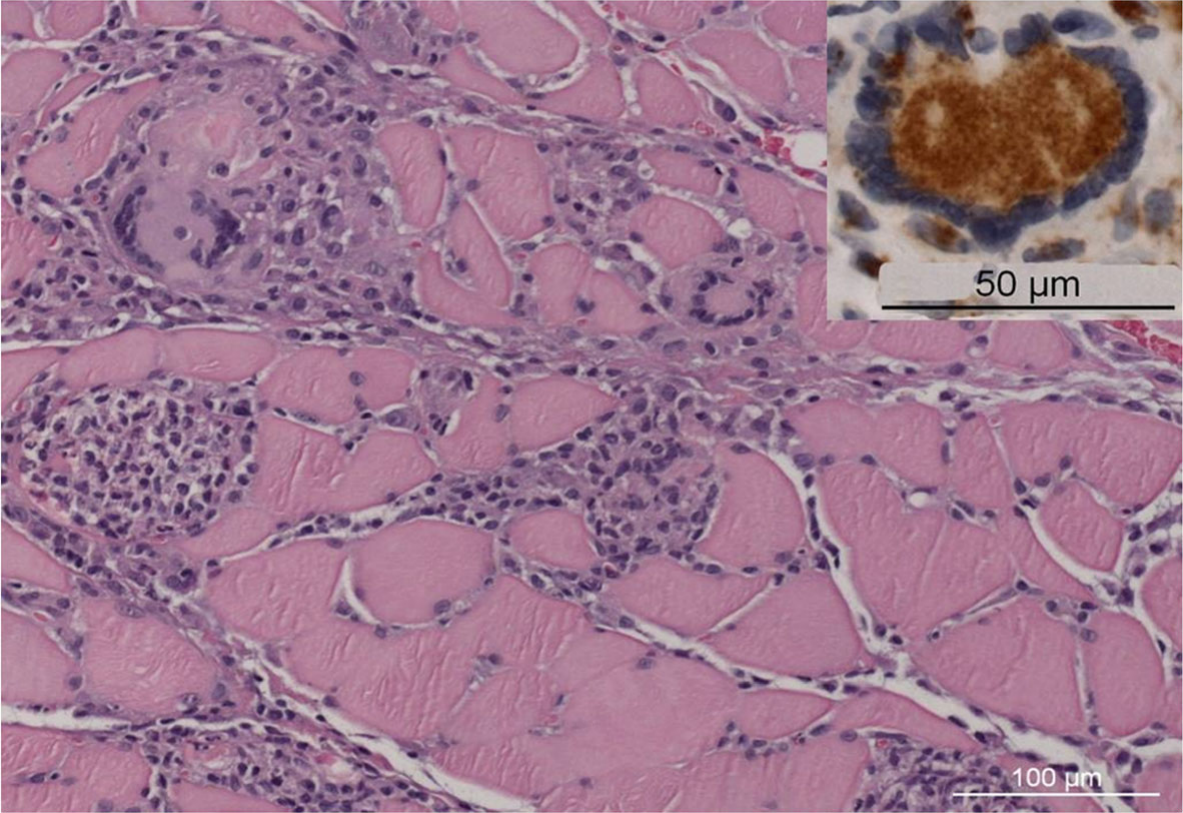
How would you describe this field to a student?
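This is skeletal muscle cut across, with pink polygonal muscle fibres of varying size separated by clusters of inflammatory cells with small dark round nuclei. At upper left lies a multinucleate giant cell, a large cell with pale pink to purplish cytoplasm and many nuclei gathered along its edge. The inflammatory cells crowd between and around the fibres, filling the spaces at left and centre, while the lower right shows fibres with less infiltrate. In the inset a single large cell stains brown throughout its cytoplasm, with blue nuclei lined up around its rim.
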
